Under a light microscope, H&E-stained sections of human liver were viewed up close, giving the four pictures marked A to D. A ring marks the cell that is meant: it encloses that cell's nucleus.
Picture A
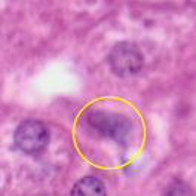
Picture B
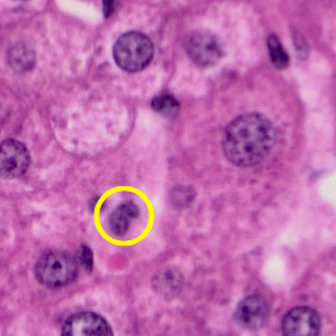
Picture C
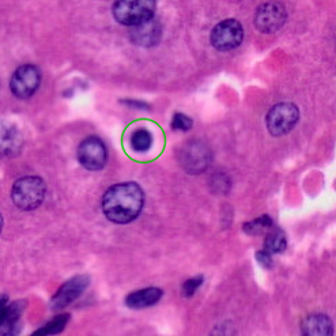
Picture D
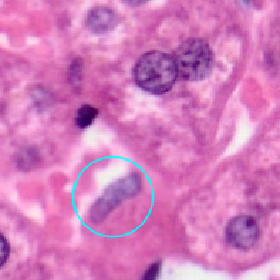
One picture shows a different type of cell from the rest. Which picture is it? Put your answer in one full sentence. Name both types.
The different one is picture C; it shows a lymphocyte, whereas all the others show Kupffer cells.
